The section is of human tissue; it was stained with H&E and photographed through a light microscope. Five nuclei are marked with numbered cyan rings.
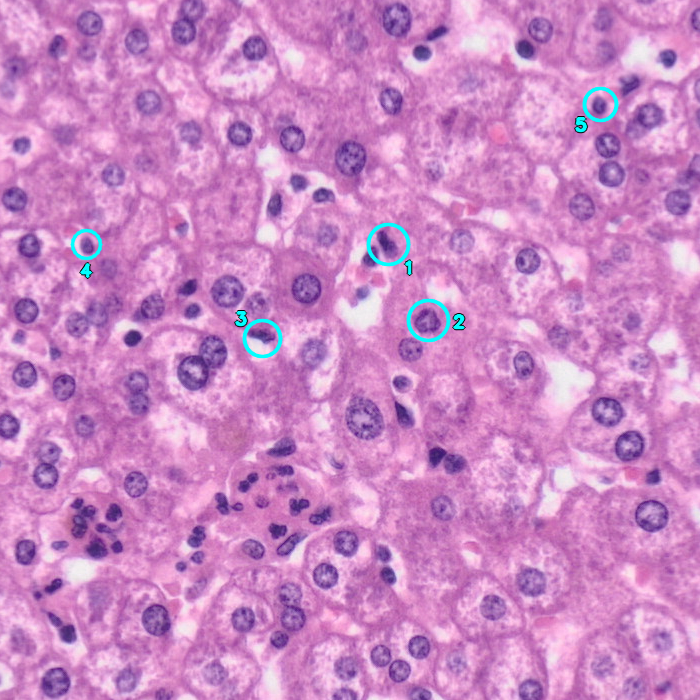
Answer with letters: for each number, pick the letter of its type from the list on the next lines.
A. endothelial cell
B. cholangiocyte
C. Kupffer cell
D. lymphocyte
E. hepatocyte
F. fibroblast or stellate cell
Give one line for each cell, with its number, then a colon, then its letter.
1: F
2: E
3: A
4: D
5: D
